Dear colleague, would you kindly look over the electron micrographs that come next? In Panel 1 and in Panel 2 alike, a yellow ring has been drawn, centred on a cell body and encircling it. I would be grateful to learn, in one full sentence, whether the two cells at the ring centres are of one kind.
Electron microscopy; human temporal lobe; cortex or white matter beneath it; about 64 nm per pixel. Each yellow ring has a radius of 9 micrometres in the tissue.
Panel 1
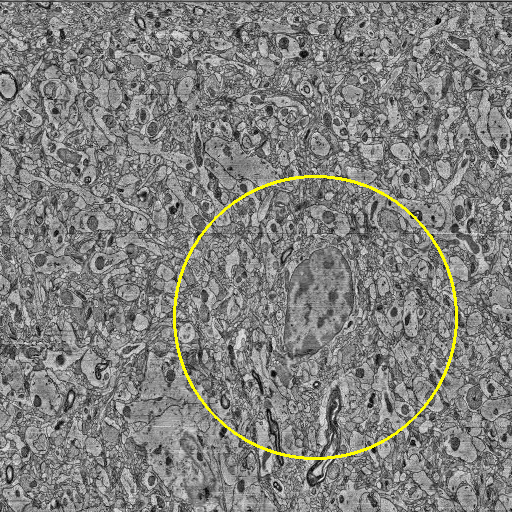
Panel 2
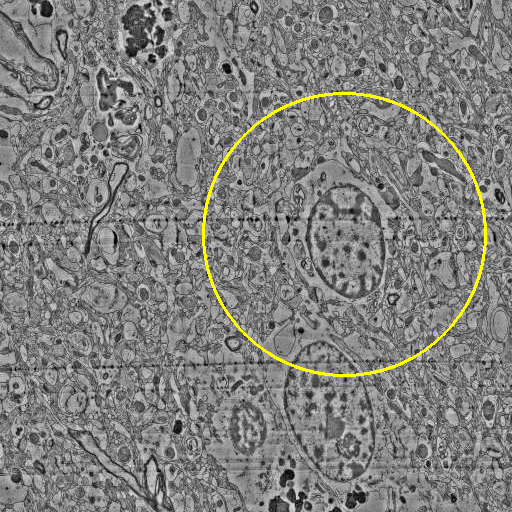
No, the cells in the middle of the rings in the two panels are of two kinds.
